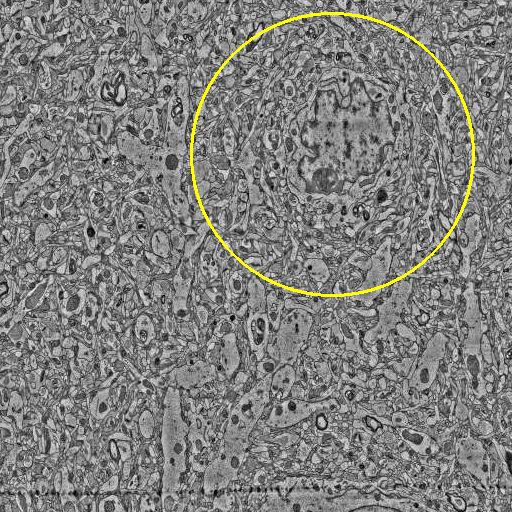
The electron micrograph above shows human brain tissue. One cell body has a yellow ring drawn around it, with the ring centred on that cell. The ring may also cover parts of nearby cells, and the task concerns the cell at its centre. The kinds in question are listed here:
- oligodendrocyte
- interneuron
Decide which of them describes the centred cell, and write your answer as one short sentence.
The centred cell is an interneuron.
